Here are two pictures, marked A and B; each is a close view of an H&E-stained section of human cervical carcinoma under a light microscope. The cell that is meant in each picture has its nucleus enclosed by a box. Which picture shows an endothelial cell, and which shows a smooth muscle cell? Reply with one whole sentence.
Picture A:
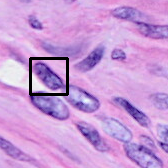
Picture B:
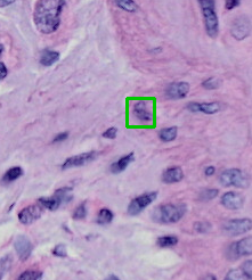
Picture A shows an endothelial cell and picture B shows a smooth muscle cell.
